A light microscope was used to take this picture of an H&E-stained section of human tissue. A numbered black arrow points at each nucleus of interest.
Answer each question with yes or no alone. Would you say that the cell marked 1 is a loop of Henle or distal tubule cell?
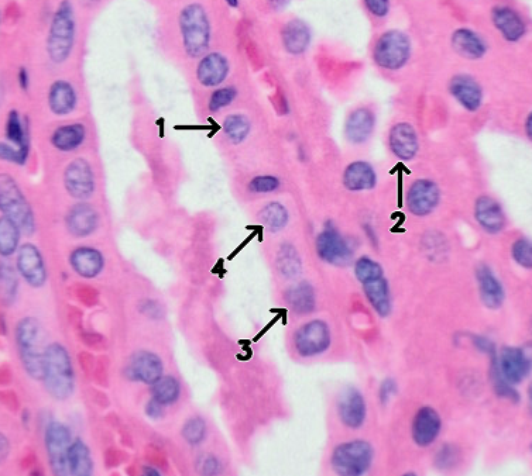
no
